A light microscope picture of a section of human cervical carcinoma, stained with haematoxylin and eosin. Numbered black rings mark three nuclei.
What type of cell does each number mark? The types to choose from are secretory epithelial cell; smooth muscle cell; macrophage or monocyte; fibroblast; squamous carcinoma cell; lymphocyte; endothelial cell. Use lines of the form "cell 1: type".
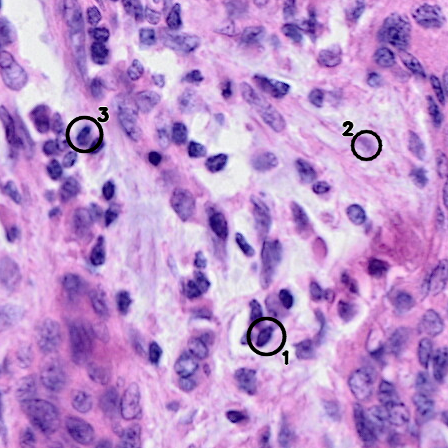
cell 1: lymphocyte
cell 2: fibroblast
cell 3: lymphocyte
